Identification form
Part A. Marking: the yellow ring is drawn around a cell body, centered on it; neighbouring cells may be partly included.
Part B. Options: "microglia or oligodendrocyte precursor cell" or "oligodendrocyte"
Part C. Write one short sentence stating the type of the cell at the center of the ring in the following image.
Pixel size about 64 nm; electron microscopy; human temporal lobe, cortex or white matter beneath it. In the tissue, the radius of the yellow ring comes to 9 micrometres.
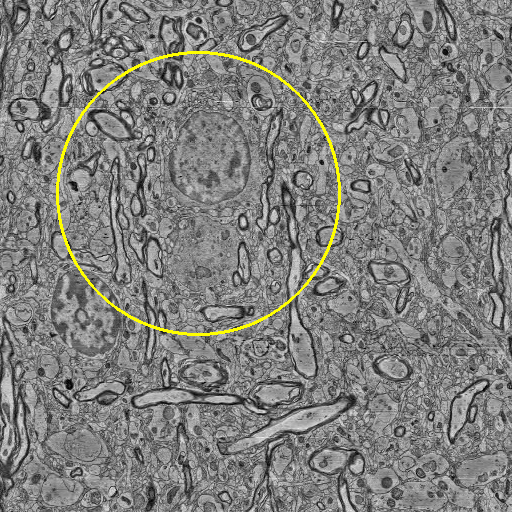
The center of the ring holds an oligodendrocyte.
